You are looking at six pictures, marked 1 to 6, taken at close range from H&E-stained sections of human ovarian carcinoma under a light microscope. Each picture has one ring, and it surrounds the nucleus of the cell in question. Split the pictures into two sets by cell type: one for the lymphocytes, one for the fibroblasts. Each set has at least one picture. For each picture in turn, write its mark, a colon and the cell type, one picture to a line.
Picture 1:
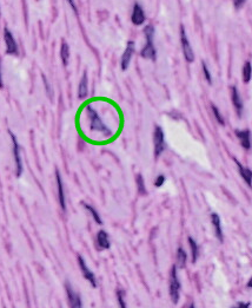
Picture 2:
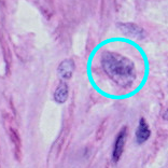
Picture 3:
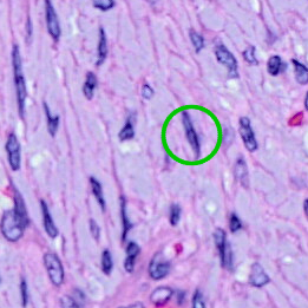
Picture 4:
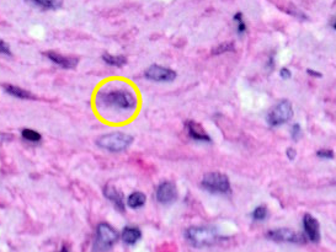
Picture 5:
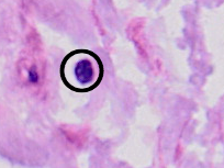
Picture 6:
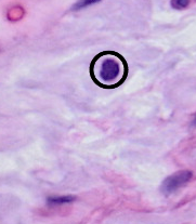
1: fibroblast
2: fibroblast
3: fibroblast
4: fibroblast
5: lymphocyte
6: lymphocyte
